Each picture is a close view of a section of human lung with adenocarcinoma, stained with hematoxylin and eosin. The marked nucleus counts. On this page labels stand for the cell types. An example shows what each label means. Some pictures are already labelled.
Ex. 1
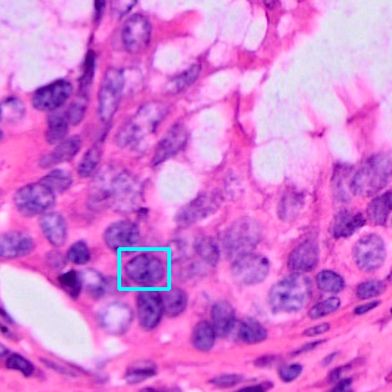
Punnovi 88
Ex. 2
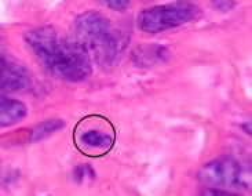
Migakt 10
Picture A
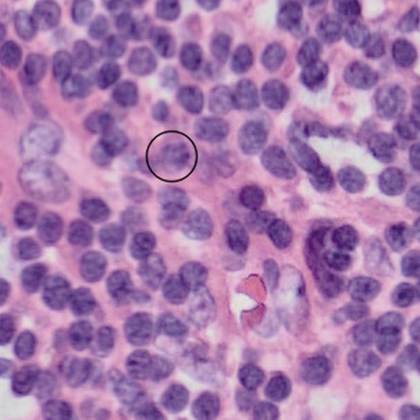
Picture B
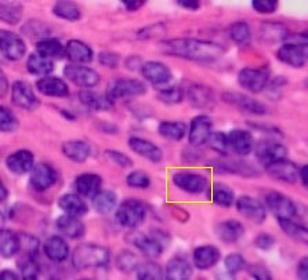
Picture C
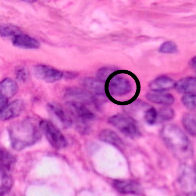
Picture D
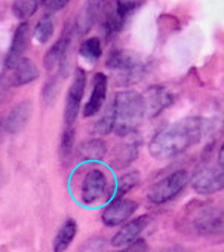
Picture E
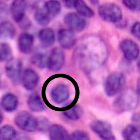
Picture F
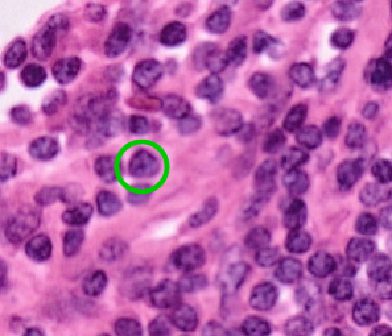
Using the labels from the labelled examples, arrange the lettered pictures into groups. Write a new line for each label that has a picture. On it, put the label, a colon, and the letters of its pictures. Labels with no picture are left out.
Punnovi 88: C, D
Migakt 10: A, B, E, F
